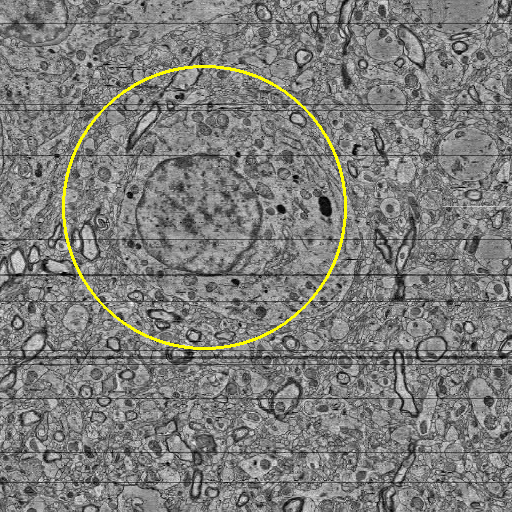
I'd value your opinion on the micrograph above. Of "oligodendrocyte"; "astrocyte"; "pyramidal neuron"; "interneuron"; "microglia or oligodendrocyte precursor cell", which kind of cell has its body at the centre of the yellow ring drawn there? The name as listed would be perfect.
interneuron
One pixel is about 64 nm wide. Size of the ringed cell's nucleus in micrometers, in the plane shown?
About 8 micrometres across, as seen in this plane.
